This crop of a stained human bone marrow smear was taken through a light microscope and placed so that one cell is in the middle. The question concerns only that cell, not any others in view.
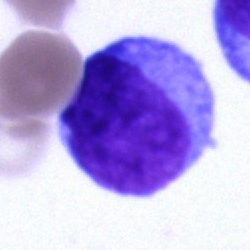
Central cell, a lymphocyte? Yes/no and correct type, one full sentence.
No, the centre cell counts as a blast, not as a lymphocyte.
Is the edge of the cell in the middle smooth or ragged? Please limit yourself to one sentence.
The contour of the cell is interrupted by ragged areas or by projections.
